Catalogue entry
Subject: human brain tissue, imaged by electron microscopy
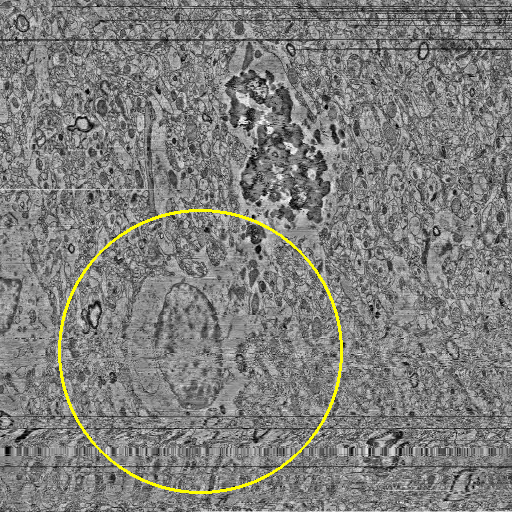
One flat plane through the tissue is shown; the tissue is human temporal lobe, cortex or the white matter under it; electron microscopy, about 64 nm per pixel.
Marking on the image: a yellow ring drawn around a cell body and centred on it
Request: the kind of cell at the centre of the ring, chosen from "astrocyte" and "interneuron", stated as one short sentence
The ring has an astrocyte at its centre.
